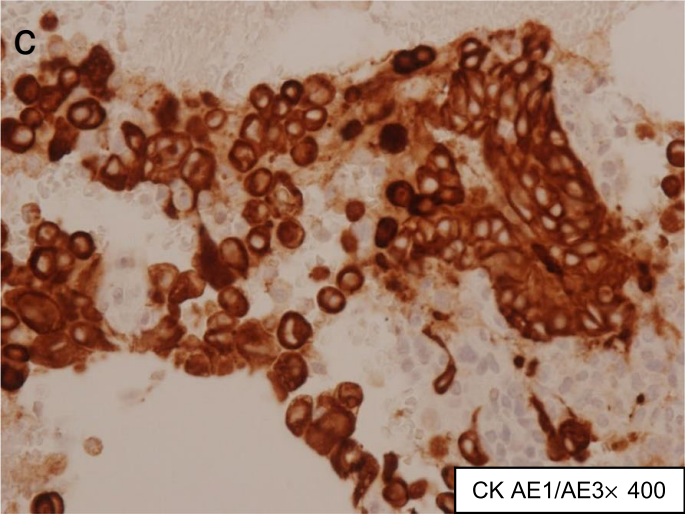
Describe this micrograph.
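Clusters and single large epithelial cells show intense brown cytoplasmic staining. The stained cells form cohesive groups and small sheets as well as scattered single cells. Their nuclei are large, round to oval and appear pale against the brown cytoplasm. Smaller cells in the pale background remain unstained.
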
